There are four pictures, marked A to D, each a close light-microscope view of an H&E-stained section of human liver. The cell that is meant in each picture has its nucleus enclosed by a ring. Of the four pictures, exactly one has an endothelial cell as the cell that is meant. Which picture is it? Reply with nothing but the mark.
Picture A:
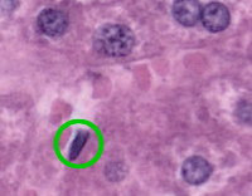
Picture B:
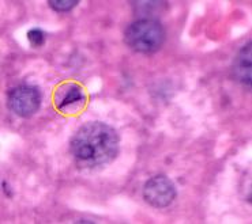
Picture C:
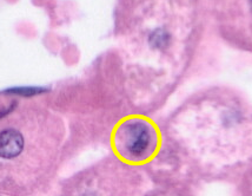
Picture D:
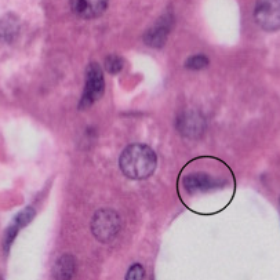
A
